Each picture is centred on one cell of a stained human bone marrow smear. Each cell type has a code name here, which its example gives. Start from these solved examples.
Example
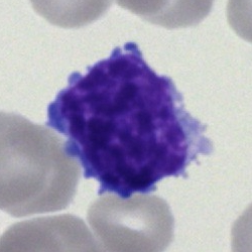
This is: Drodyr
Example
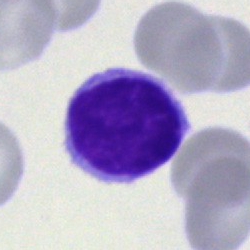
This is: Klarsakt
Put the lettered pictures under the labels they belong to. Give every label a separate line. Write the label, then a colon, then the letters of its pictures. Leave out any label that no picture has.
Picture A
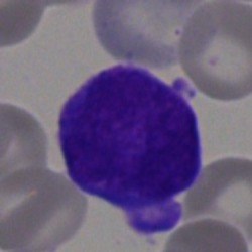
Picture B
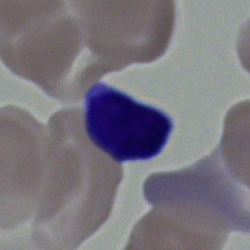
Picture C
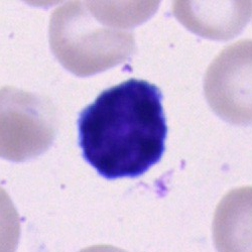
Drodyr: A
Klarsakt: B, C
